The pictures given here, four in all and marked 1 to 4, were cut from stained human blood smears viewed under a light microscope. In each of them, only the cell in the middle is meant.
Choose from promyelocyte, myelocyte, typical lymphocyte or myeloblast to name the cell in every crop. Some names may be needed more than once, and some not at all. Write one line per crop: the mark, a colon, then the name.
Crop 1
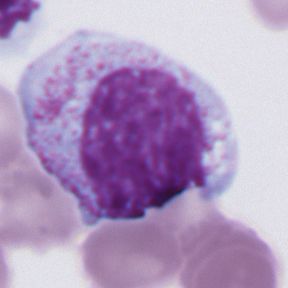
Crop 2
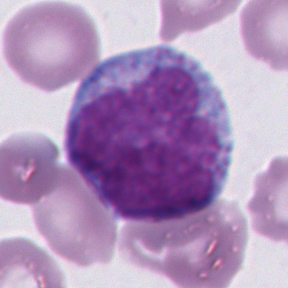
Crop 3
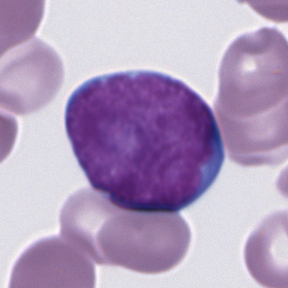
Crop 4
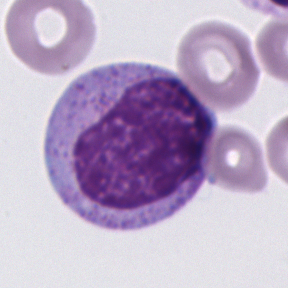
1: myelocyte
2: promyelocyte
3: myeloblast
4: myelocyte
